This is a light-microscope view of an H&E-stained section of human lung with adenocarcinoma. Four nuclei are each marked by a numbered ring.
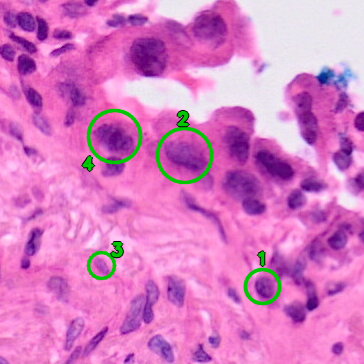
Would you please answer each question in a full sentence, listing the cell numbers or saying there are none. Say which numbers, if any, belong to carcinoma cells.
In this section, the cells numbered 2 and 4 are carcinoma cells.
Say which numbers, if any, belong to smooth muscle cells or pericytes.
In this set of numbered cells, only cell 3 is a smooth muscle cell or pericyte.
